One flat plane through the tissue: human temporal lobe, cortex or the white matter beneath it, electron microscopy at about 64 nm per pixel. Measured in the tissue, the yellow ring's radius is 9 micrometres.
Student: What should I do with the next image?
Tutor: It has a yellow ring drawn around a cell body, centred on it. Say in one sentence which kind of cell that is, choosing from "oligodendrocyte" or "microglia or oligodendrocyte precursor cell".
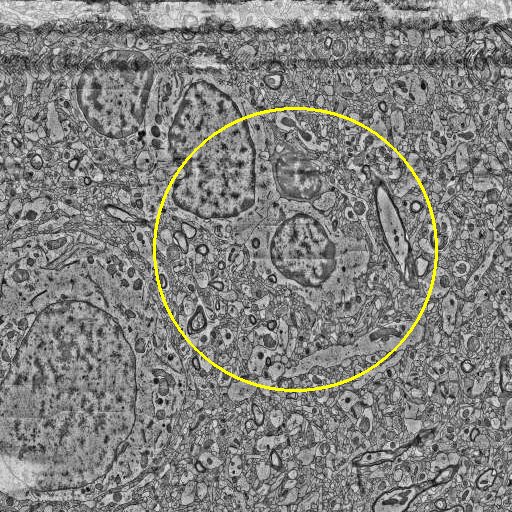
The ring's centre is occupied by a microglial cell or oligodendrocyte precursor cell.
